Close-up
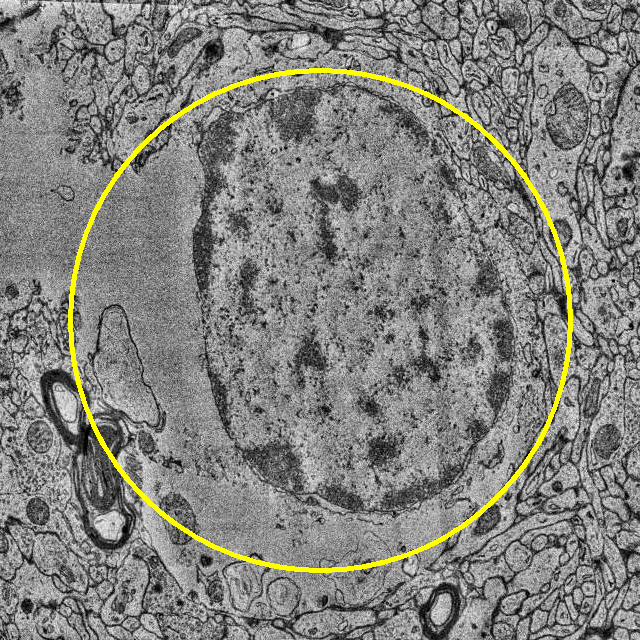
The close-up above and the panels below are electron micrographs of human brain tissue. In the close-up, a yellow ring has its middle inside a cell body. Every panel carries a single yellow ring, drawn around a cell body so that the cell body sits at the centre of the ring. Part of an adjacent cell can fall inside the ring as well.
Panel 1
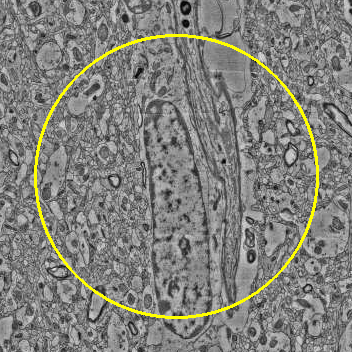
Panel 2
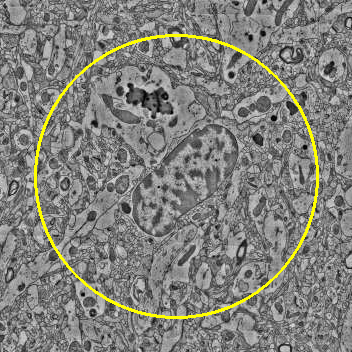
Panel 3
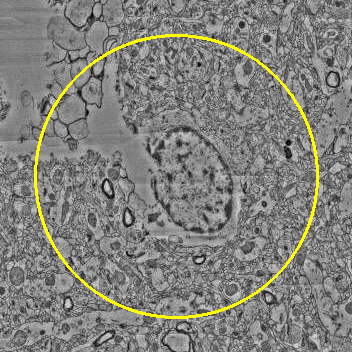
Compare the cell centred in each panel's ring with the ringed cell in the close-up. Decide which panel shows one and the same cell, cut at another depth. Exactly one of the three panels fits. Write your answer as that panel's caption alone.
Panel 3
